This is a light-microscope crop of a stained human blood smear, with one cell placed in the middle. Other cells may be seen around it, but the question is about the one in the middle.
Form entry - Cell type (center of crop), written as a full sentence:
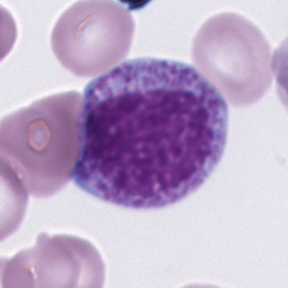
The crop shows a myelocyte in its centre.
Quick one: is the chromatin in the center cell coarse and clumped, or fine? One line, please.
The chromatin remains finely textured, with no coarse clumps to speak of.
